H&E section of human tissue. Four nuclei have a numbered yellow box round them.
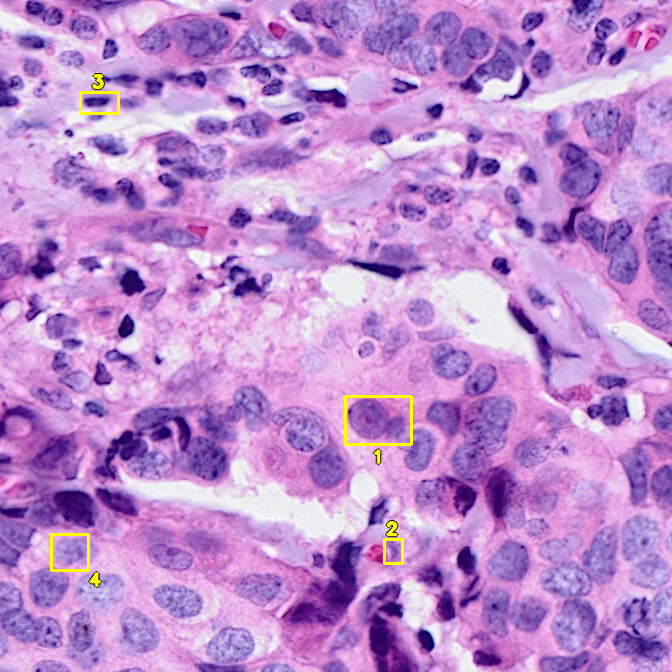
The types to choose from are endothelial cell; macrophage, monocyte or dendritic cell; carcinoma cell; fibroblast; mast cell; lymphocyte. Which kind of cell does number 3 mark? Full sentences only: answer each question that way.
The cell carrying label 3 is identified as a lymphocyte.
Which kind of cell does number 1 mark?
The label 1 in this section denotes a carcinoma cell.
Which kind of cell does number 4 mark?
Here the cell numbered 4 is a carcinoma cell.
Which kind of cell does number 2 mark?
The numbered cell 2 is identified here as an endothelial cell.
